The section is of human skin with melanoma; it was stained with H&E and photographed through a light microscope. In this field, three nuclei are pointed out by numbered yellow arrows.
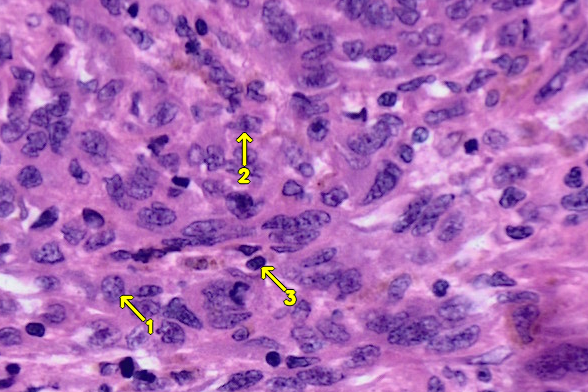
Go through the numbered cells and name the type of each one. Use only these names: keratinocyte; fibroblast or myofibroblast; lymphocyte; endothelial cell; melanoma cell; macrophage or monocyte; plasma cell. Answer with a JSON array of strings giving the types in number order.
["melanoma cell", "melanoma cell", "lymphocyte"]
